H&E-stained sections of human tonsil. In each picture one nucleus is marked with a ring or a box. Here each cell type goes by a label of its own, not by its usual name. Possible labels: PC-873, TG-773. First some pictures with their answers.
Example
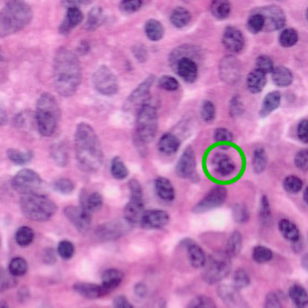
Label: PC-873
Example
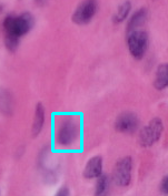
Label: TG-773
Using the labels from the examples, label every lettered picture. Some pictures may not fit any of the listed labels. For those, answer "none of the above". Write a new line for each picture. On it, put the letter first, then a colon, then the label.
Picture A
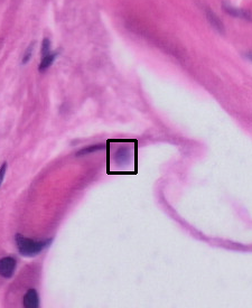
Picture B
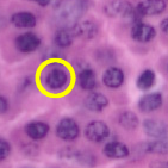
A: TG-773
B: PC-873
